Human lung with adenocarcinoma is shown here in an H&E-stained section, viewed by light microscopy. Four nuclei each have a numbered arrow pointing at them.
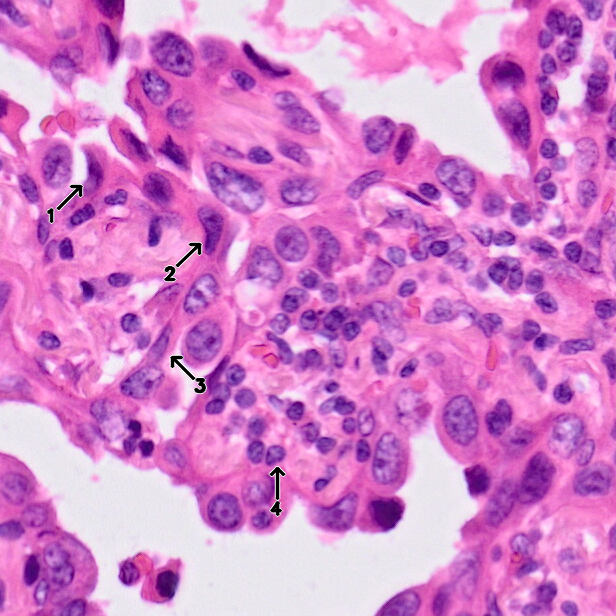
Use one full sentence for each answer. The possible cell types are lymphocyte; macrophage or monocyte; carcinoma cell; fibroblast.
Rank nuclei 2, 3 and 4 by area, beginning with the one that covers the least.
By area, going up from the smallest, they rank 4, 3, 2.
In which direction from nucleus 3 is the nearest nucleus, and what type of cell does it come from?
The closest nucleus belongs to a lymphocyte and sits to the left of nucleus 3.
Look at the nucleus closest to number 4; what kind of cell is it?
The nucleus nearest to number 4 is that of a lymphocyte.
